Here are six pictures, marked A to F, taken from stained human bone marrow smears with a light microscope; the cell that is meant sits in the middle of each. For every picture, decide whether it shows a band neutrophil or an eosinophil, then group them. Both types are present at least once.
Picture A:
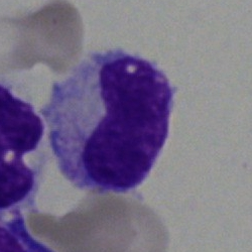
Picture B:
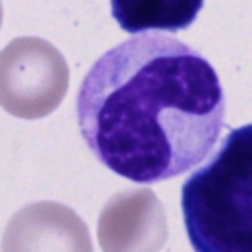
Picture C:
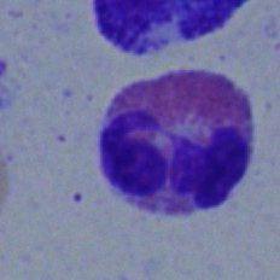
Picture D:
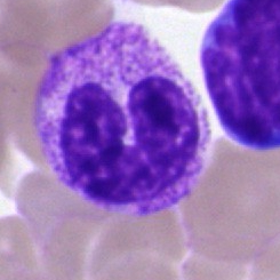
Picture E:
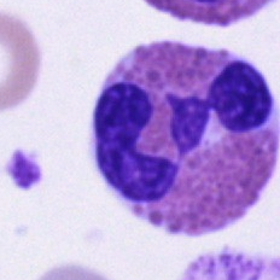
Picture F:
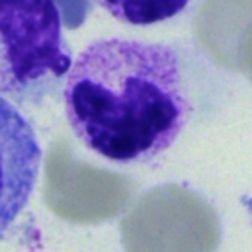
A: band neutrophil
B: band neutrophil
C: eosinophil
D: band neutrophil
E: eosinophil
F: band neutrophil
